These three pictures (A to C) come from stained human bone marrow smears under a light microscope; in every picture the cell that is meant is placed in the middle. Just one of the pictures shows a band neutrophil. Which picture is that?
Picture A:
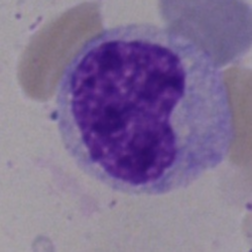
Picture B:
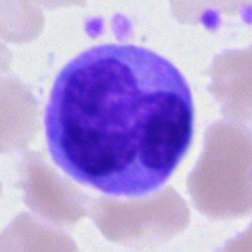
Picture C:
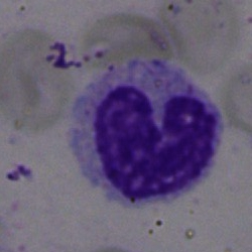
C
